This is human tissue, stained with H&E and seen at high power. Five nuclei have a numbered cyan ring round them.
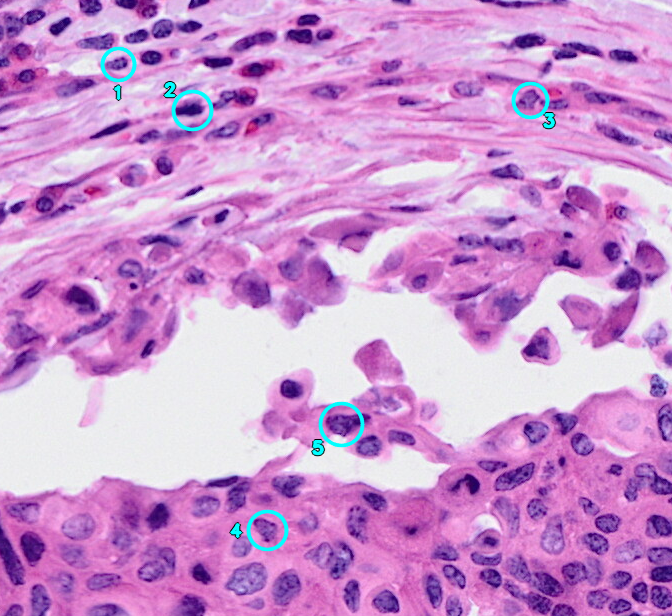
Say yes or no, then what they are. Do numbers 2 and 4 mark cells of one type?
No, cell 2 counts as a lymphocyte, and cell 4 counts as a squamous carcinoma cell.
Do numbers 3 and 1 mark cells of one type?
No, cell 3 is categorized as an endothelial cell, while cell 1 is categorized as a lymphocyte.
